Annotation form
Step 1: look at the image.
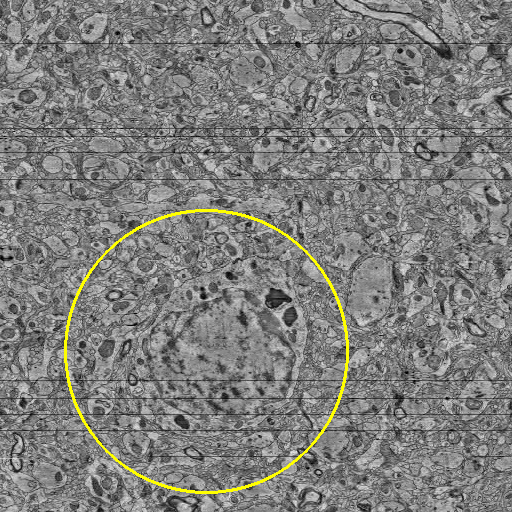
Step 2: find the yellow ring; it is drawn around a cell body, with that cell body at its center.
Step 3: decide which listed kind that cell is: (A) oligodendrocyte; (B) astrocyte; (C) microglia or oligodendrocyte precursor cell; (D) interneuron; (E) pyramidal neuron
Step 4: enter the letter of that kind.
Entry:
D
